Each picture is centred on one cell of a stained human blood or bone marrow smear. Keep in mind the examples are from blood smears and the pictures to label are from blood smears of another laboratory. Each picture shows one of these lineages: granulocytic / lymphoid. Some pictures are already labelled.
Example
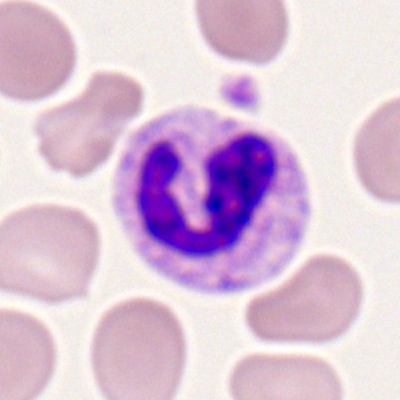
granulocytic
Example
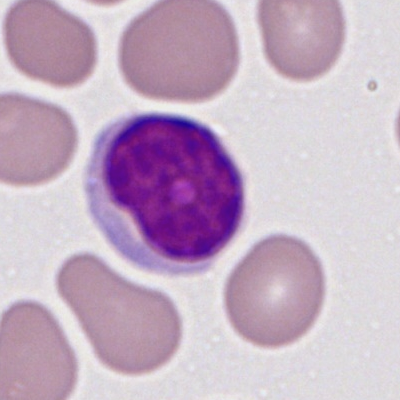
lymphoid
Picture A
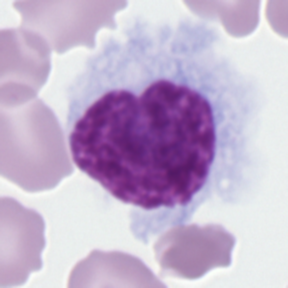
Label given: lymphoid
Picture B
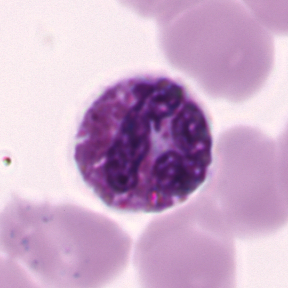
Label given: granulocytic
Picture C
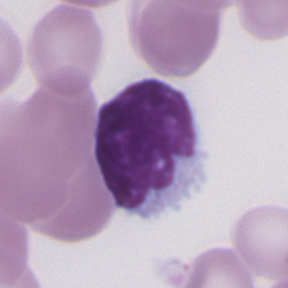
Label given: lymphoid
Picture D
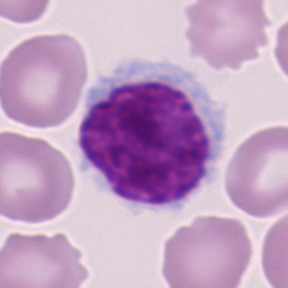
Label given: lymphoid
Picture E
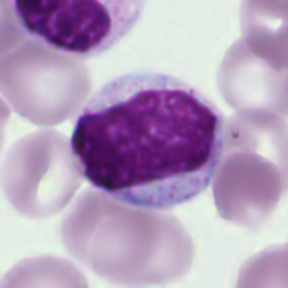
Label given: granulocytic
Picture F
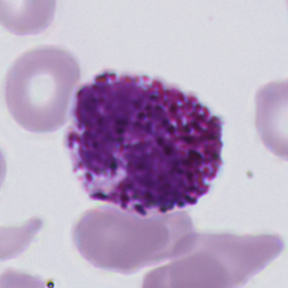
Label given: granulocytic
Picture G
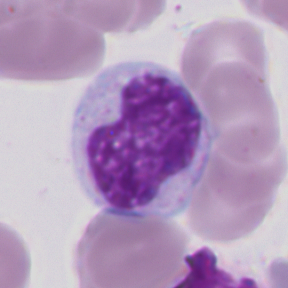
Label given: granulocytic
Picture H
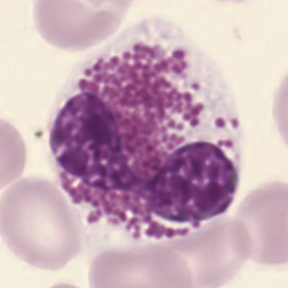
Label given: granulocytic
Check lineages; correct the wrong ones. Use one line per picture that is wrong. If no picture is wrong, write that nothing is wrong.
Every label is right.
